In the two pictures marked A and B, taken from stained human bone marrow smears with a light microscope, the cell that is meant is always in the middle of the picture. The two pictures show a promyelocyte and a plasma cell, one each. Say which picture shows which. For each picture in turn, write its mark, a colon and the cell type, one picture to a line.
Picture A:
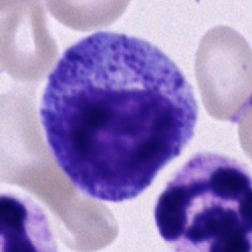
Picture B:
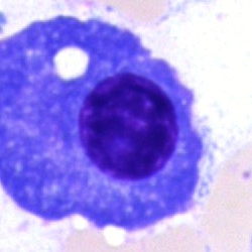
A: promyelocyte
B: plasma cell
